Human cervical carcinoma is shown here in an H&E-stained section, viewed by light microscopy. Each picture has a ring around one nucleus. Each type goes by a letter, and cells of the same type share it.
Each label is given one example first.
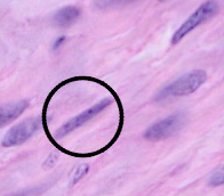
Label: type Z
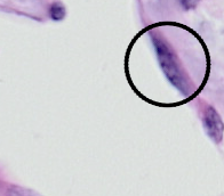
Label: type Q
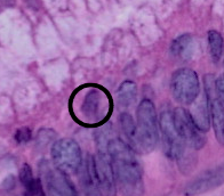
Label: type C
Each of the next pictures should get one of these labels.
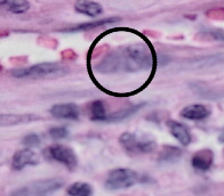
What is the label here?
type Q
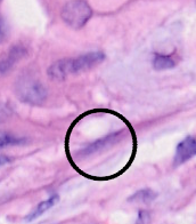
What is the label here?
type Z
